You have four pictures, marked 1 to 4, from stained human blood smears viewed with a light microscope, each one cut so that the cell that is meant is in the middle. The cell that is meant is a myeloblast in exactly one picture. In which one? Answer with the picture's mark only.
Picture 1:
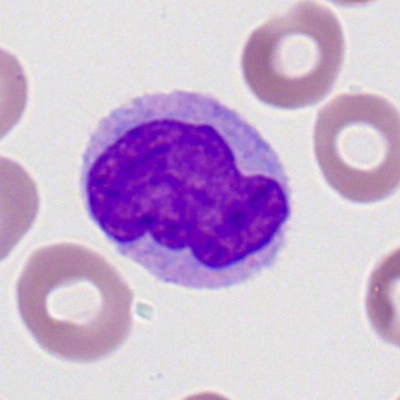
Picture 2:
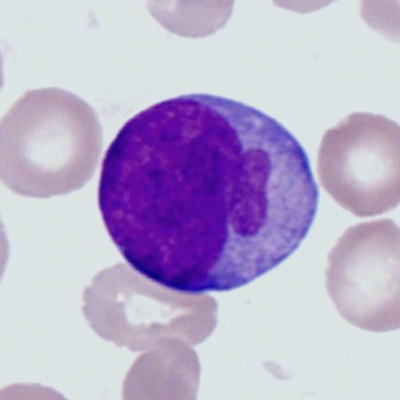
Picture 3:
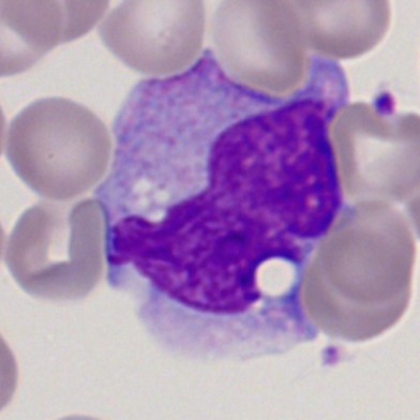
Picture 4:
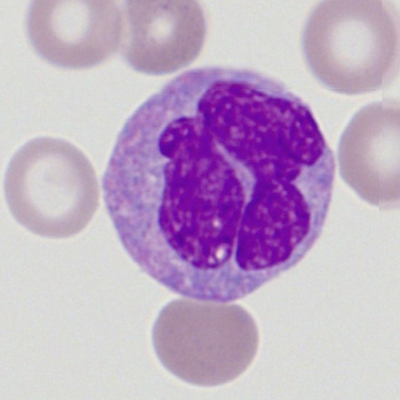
2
